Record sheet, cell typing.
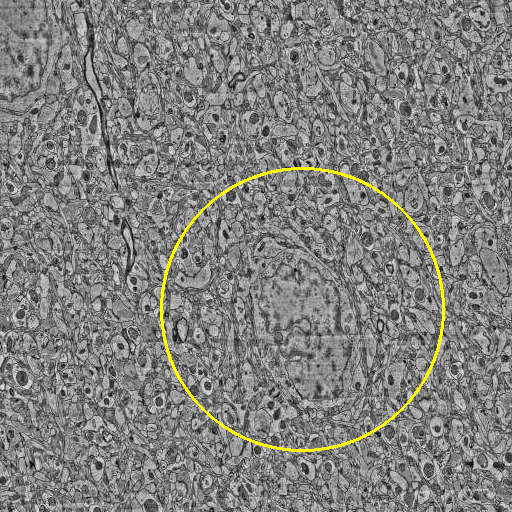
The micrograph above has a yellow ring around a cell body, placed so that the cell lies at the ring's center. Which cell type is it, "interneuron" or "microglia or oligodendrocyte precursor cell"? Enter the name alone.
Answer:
interneuron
